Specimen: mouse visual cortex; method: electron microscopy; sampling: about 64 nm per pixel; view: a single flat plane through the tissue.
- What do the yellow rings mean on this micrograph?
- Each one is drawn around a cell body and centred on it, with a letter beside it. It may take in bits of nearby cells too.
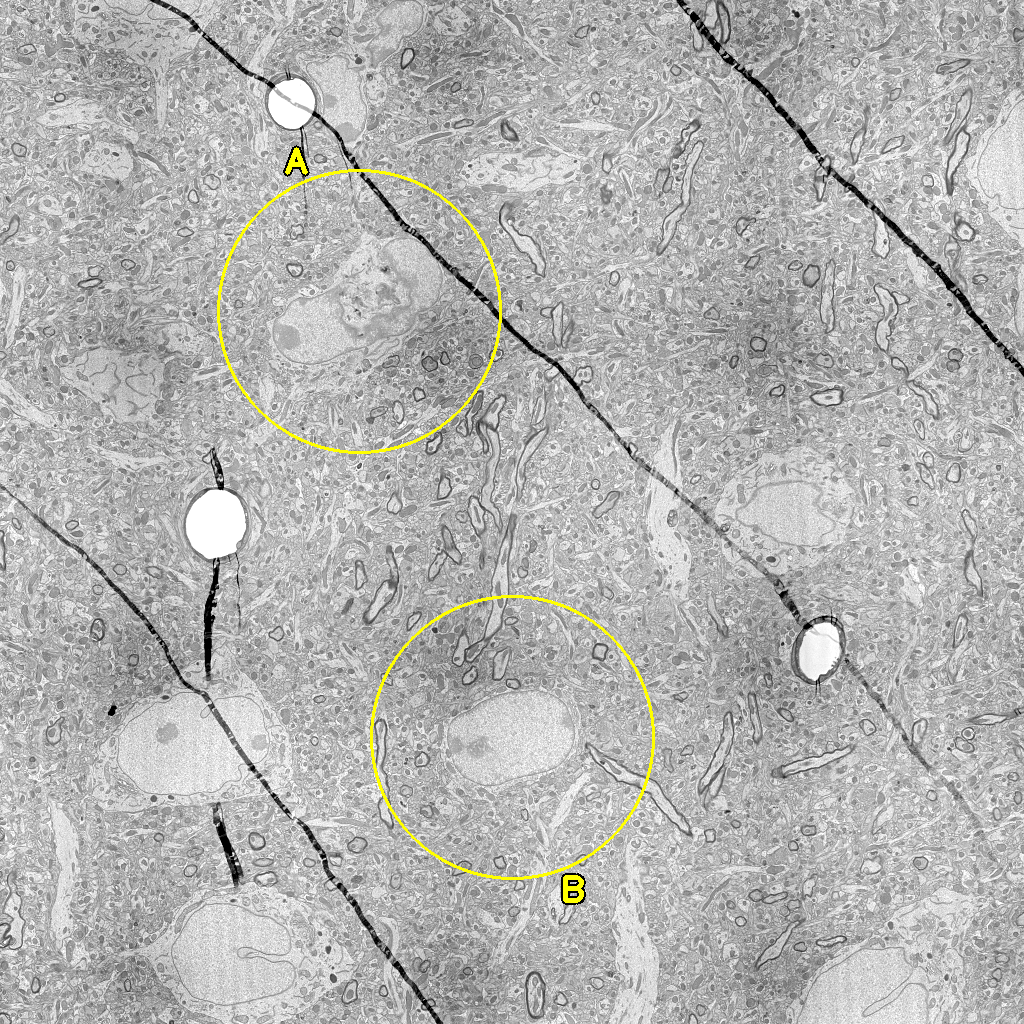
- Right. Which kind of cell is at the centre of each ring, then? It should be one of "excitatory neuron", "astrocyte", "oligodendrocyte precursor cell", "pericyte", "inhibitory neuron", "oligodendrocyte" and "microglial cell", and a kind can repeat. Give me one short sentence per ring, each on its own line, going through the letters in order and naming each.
Ring A circles the cell body of an oligodendrocyte precursor cell.
Ring B circles the cell body of an astrocyte.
